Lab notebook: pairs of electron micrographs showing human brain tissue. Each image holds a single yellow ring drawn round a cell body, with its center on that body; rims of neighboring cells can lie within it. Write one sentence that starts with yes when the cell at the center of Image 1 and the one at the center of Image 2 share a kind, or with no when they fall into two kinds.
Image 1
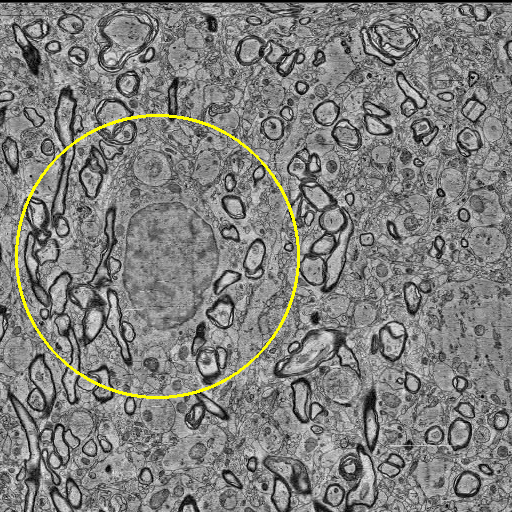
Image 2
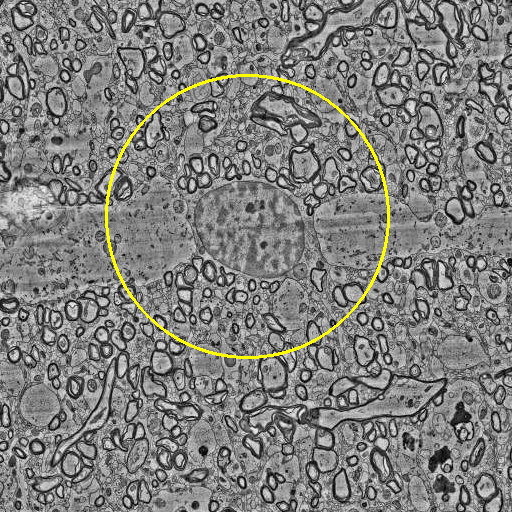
Yes, the centered cell in Image 1 and the centered cell in Image 2 are of one kind.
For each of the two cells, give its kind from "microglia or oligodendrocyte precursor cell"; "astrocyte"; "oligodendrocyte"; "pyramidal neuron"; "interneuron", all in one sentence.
The second cell is an oligodendrocyte, just as the first is.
